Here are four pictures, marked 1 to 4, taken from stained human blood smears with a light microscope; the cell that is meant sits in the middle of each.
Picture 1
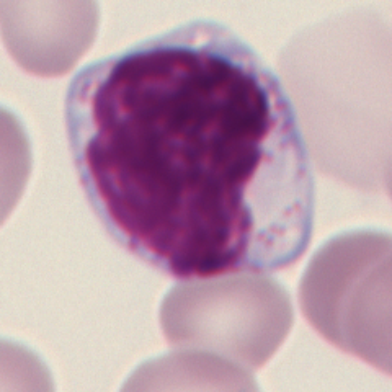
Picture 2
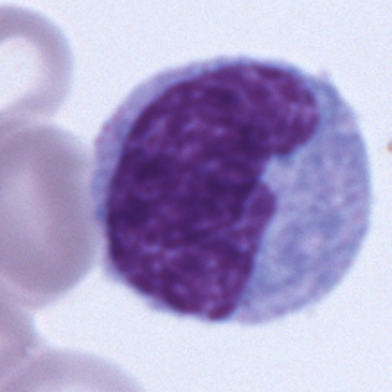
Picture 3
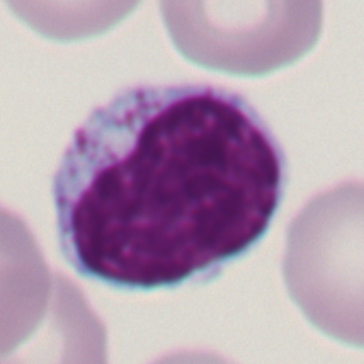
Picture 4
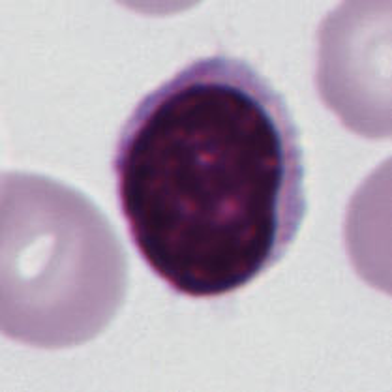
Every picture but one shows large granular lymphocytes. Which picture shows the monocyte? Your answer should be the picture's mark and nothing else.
2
